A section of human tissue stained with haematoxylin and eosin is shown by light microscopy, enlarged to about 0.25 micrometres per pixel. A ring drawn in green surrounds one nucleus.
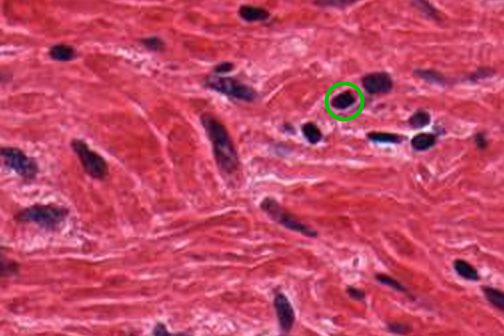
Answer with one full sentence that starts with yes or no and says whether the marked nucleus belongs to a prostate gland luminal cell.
No, rather than a prostate gland luminal cell, it is a supporting cell that contains the marked nucleus.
